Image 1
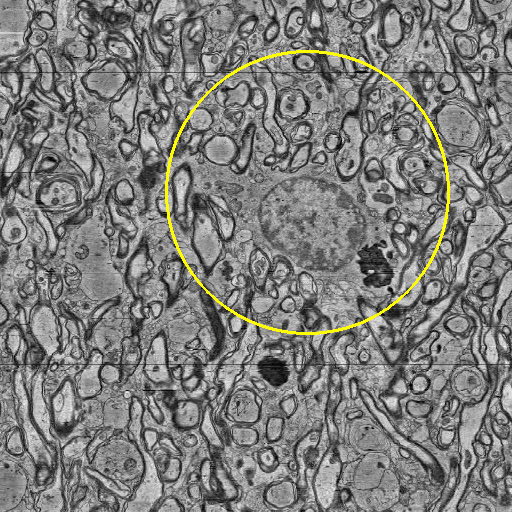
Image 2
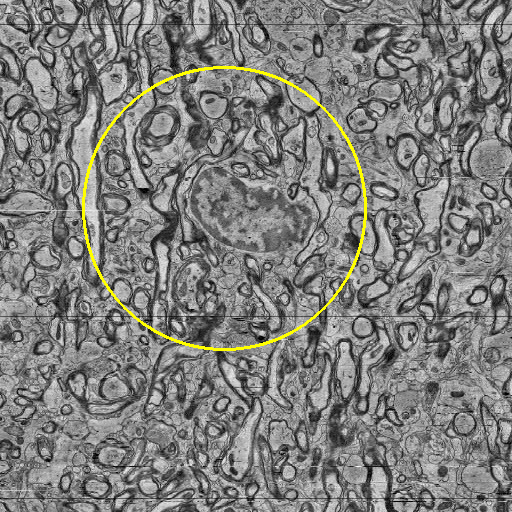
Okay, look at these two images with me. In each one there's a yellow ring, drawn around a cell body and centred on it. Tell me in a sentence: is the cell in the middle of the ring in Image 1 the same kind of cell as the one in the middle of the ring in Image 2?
No, they're two kinds of cell.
